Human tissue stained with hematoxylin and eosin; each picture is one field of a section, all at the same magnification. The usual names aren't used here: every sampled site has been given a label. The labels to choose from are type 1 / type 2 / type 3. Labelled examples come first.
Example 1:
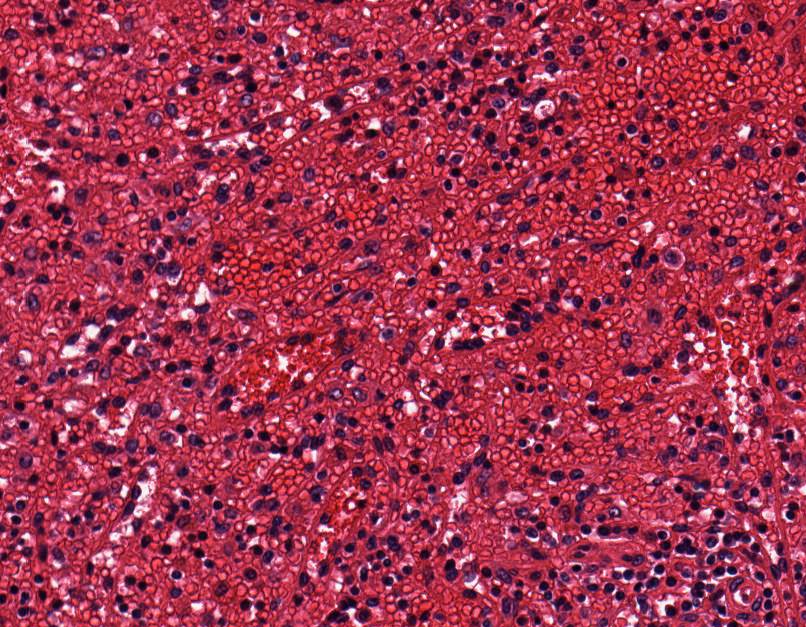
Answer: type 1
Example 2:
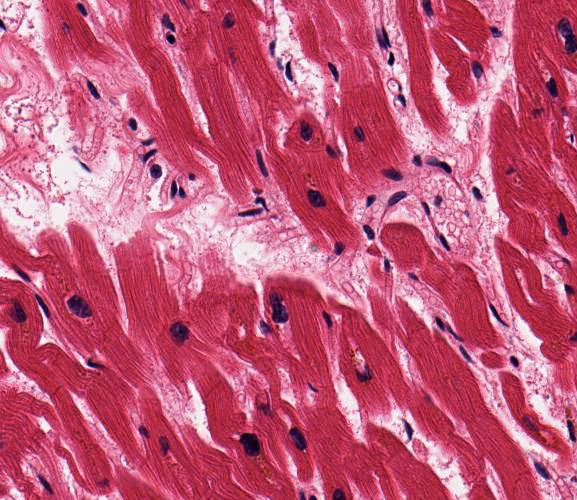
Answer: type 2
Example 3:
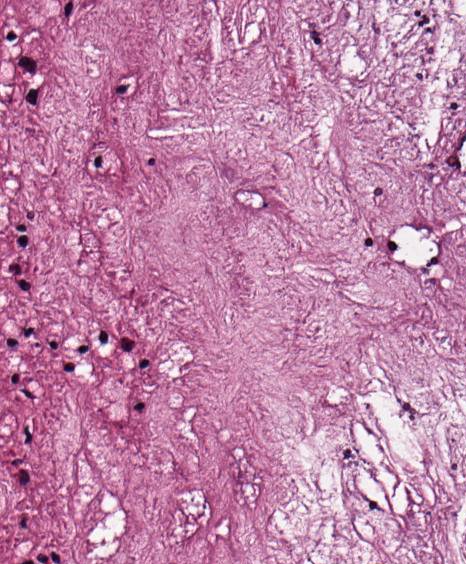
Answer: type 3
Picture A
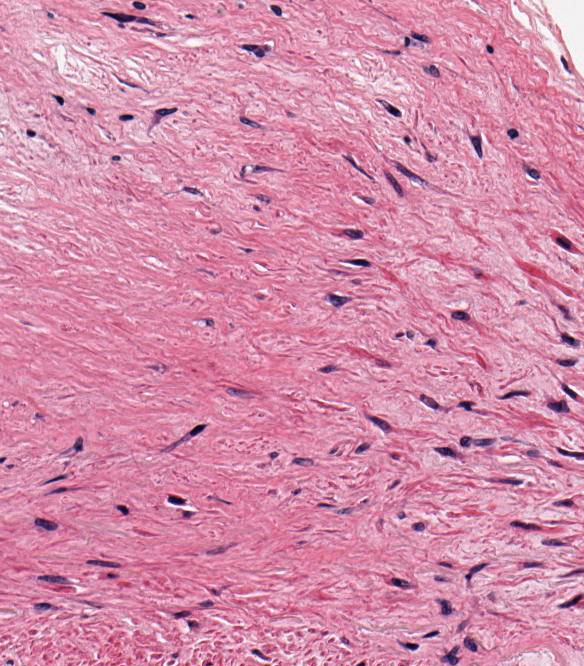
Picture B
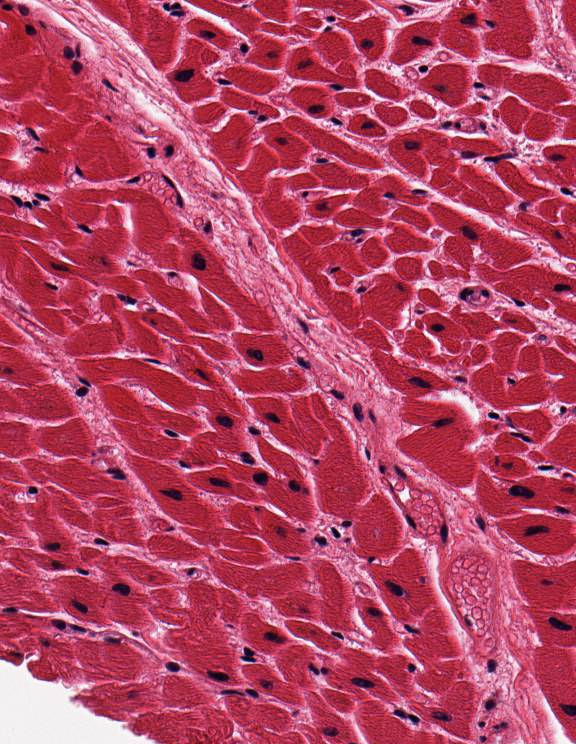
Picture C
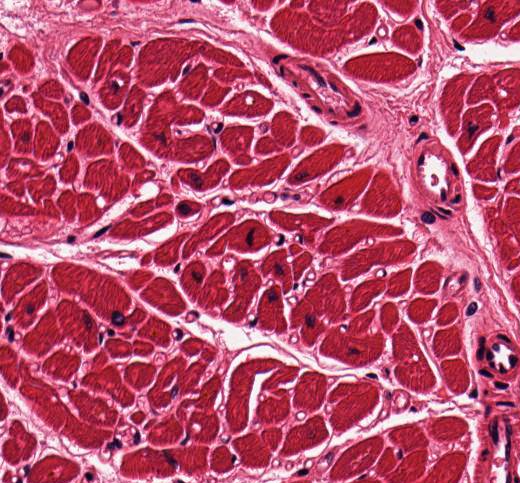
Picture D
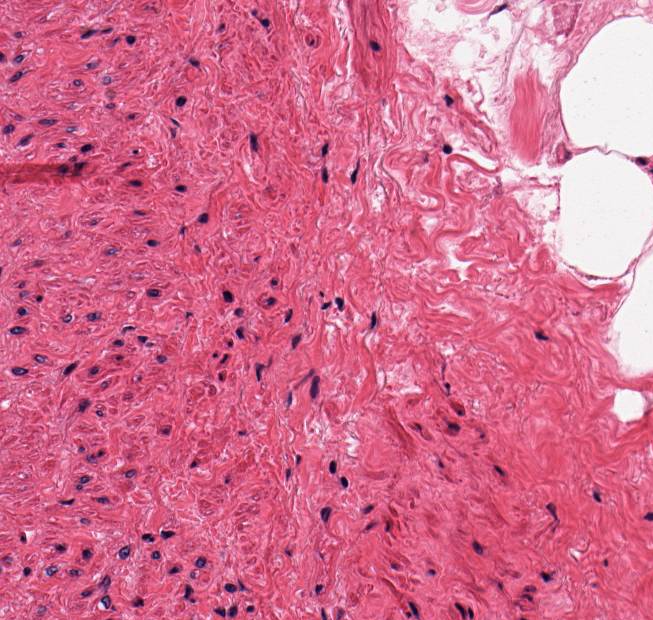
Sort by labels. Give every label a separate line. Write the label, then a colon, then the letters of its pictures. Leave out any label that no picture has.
type 2: B, C
type 3: A, D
